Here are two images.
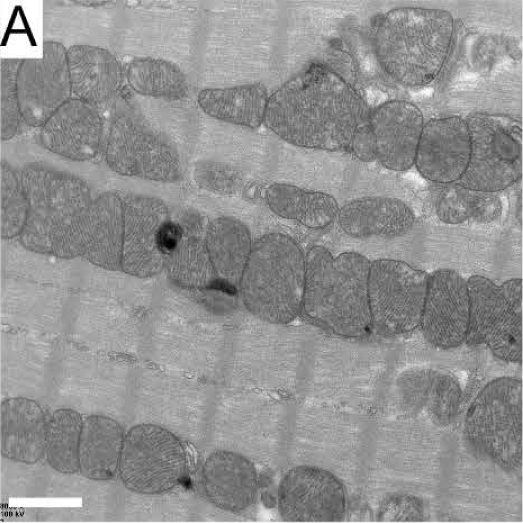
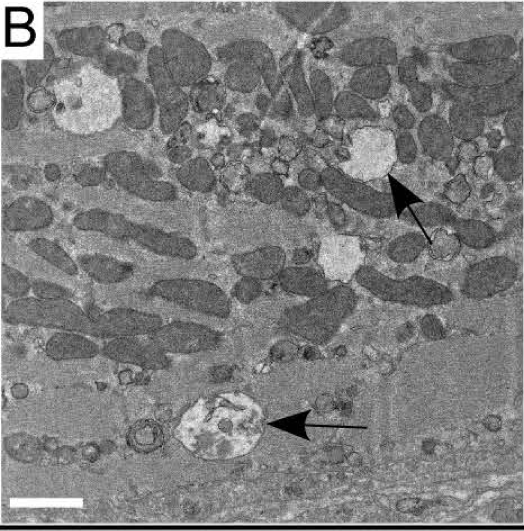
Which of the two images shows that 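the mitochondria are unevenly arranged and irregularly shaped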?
The second image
